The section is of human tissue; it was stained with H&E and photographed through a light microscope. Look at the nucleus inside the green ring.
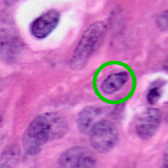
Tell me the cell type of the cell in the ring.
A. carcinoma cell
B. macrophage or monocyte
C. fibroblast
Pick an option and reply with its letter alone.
B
